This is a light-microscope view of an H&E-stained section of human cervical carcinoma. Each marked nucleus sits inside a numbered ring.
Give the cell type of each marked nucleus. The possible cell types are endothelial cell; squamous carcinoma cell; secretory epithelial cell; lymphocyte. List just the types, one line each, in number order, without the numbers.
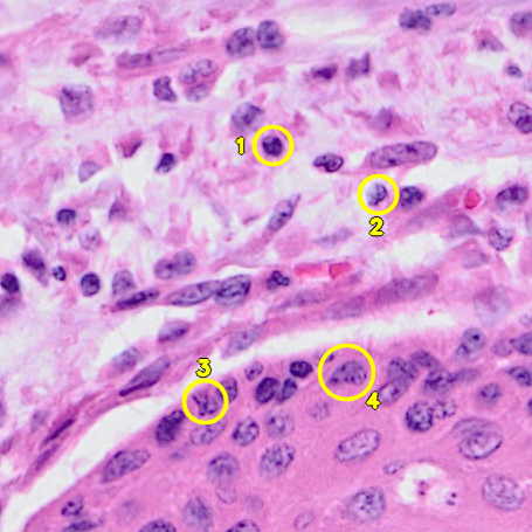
lymphocyte
lymphocyte
squamous carcinoma cell
squamous carcinoma cell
